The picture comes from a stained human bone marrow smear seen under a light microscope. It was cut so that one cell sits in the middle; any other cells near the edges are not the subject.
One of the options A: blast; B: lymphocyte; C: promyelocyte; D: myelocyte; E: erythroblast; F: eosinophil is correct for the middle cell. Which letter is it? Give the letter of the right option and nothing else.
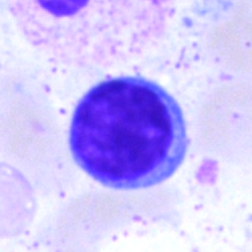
B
